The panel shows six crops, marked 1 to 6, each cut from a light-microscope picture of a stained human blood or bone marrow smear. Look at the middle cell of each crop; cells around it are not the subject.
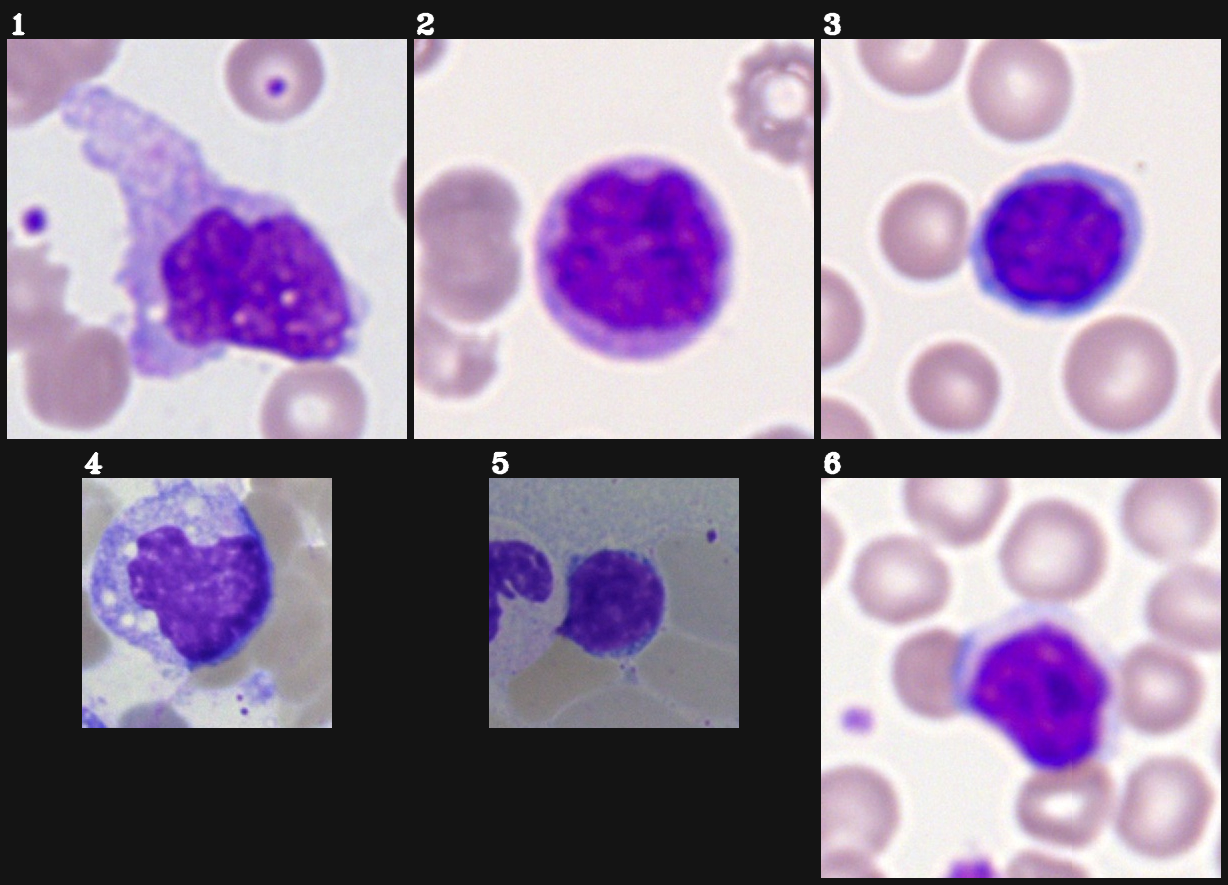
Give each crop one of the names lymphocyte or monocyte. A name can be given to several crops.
1: monocyte
2: monocyte
3: lymphocyte
4: monocyte
5: lymphocyte
6: lymphocyte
